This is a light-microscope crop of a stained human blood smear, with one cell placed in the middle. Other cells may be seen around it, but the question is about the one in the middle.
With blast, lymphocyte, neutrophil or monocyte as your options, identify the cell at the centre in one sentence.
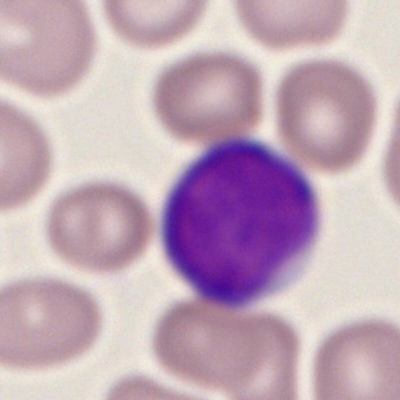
Located at the centre of the crop is a blast.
